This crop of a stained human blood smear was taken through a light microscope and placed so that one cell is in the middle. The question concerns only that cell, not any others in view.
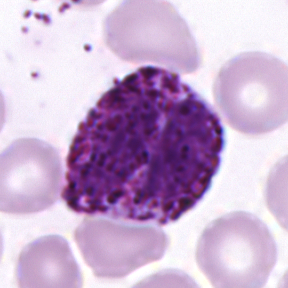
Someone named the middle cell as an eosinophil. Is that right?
no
